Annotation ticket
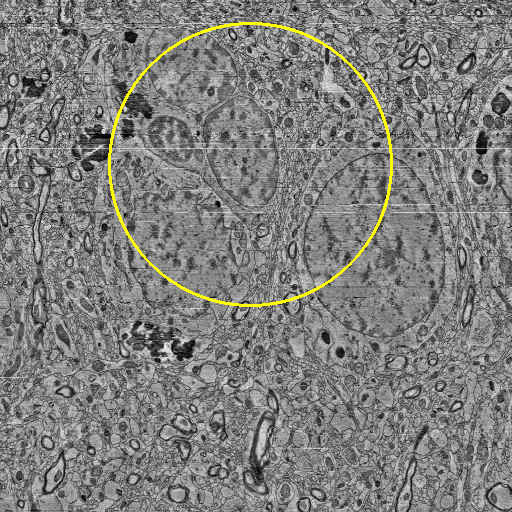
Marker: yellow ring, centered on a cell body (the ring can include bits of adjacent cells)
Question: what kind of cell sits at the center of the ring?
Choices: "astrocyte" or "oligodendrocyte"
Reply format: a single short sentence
The ring is centered on an oligodendrocyte.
